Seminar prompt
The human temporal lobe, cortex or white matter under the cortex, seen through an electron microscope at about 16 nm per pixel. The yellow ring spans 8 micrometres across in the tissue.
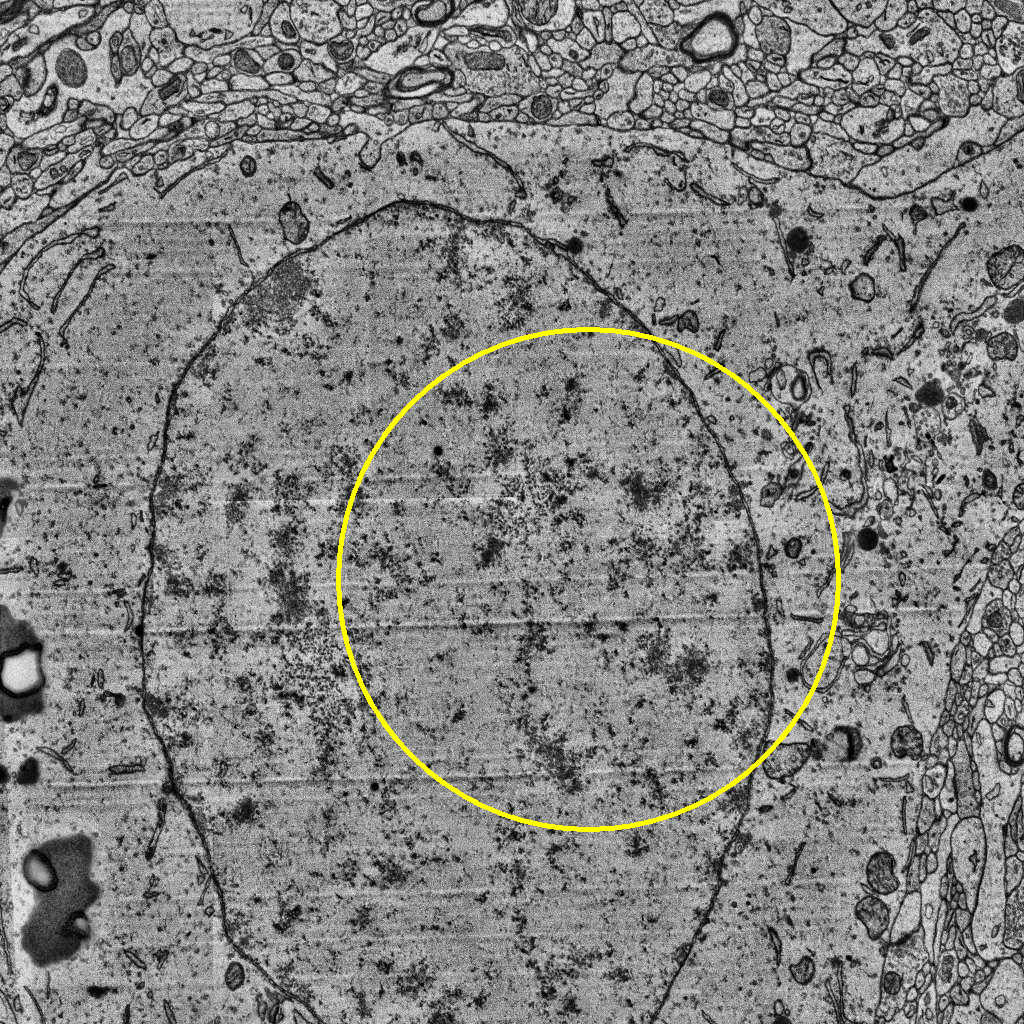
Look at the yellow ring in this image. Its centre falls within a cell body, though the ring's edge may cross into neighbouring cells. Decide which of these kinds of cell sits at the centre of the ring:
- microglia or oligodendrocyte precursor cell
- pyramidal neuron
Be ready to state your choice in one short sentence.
The kind of cell at the ring's centre is a pyramidal neuron.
